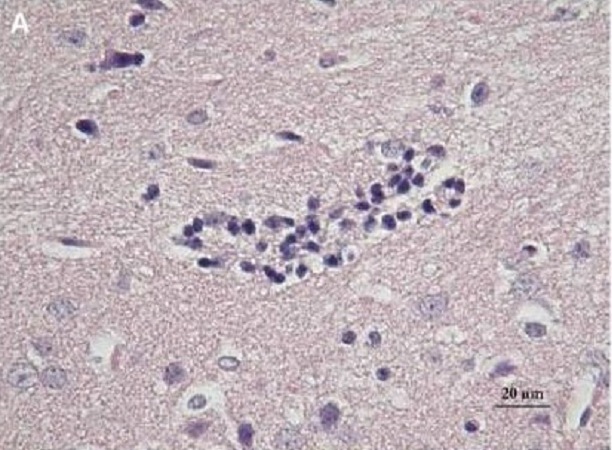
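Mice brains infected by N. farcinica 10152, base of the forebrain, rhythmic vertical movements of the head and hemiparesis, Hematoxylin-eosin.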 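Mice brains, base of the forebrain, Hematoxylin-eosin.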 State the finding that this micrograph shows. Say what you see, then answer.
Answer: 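A dense cluster of small dark round nuclei in the middle of the field. Surrounding pink neuropil has only scattered nuclei. That points to this answer: focus of gliosis.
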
